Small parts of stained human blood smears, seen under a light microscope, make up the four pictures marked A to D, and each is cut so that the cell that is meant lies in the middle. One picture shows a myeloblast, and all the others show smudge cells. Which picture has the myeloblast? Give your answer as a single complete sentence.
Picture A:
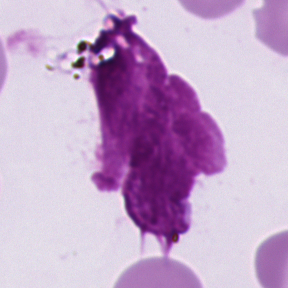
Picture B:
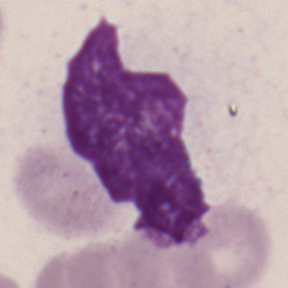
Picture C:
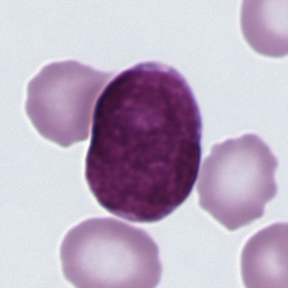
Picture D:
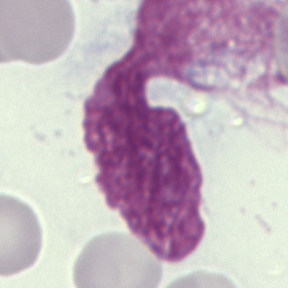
The cell in picture C is the myeloblast.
